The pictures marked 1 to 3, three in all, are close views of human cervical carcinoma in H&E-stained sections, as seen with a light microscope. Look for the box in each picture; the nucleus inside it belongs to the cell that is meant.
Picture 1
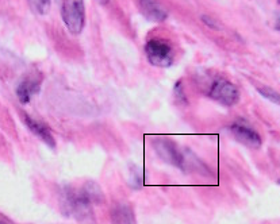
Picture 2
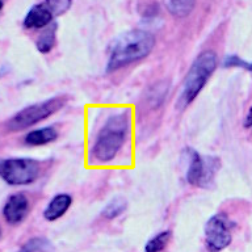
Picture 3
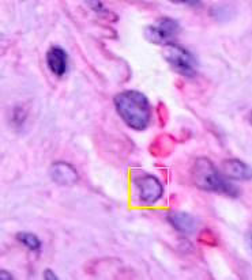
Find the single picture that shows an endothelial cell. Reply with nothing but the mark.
3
